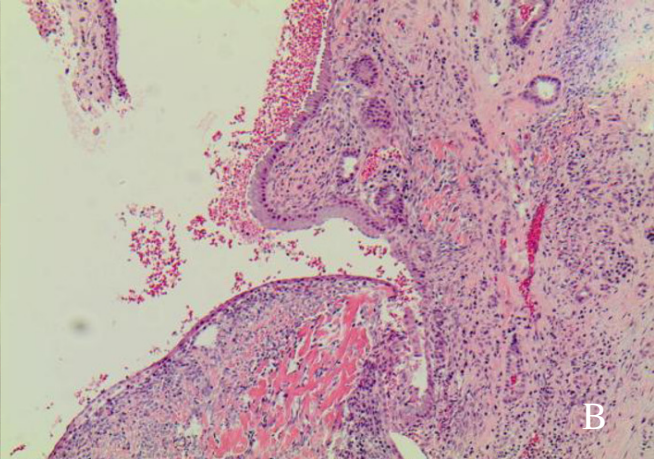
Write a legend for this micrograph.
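This is the wall of a cyst lined by benign mucinous epithelium resting on a cellular stroma. The lining is a single layer of tall columnar cells with pale apical cytoplasm and basally placed nuclei, with small glands in the tissue beneath.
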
